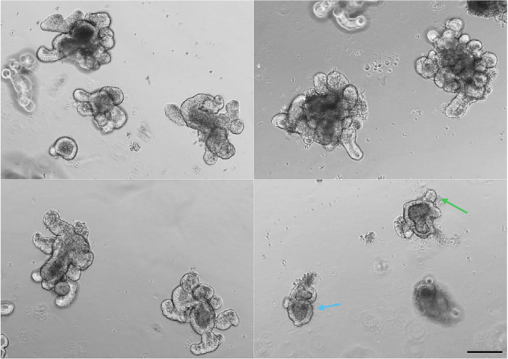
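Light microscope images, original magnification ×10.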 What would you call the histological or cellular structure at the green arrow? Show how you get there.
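The arrow points to a small knob-like protrusion extending outward from the edge of an organoid. So: budds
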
